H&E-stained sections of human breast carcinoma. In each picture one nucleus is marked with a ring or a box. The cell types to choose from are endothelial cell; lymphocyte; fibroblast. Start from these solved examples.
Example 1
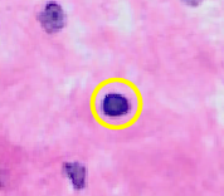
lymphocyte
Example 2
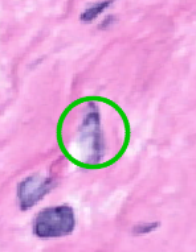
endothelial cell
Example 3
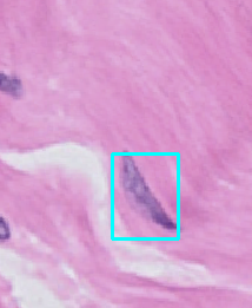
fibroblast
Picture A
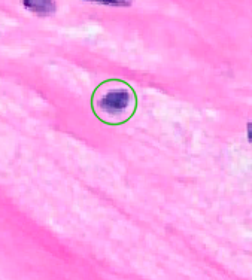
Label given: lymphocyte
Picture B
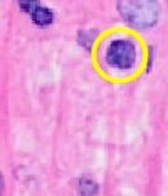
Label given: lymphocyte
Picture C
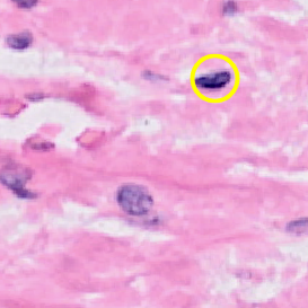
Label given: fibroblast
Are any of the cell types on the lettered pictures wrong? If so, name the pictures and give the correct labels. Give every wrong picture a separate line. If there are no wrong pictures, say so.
C: change fibroblast to lymphocyte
